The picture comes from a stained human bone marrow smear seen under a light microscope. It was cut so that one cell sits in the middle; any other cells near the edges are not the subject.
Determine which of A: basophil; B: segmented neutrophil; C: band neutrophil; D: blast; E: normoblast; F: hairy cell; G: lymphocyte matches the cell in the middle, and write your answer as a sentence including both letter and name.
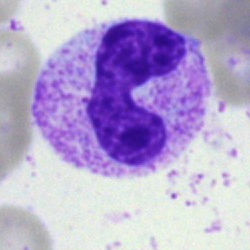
The cell placed in the middle is a band neutrophil; option C is correct.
